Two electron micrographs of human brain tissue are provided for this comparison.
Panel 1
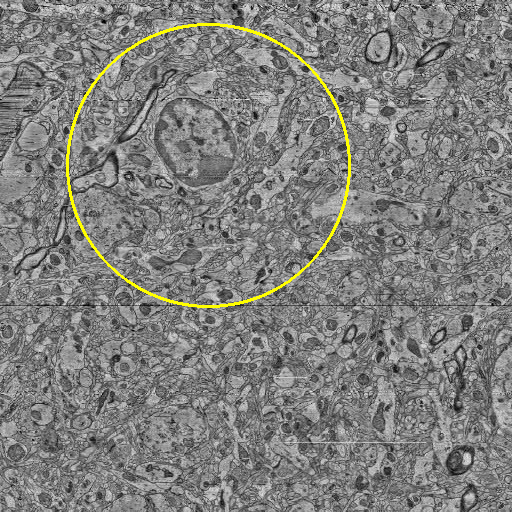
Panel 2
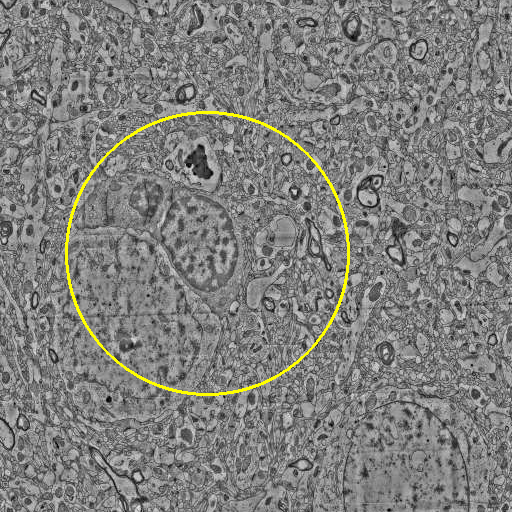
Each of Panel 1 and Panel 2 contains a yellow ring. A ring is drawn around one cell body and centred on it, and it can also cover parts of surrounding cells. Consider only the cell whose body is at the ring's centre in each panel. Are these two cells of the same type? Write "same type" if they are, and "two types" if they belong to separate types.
two types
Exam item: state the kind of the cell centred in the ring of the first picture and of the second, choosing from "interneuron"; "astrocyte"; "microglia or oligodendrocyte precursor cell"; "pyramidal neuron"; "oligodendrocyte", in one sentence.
The first picture shows a microglial cell or oligodendrocyte precursor cell at the ring centre and the second shows an oligodendrocyte.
